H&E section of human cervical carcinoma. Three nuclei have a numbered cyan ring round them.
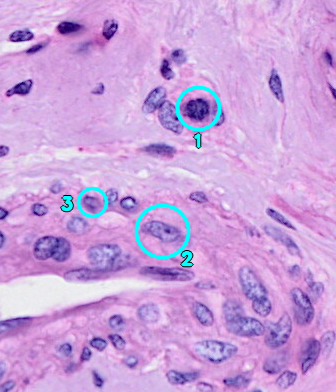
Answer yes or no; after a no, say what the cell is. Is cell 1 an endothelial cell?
Yes.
